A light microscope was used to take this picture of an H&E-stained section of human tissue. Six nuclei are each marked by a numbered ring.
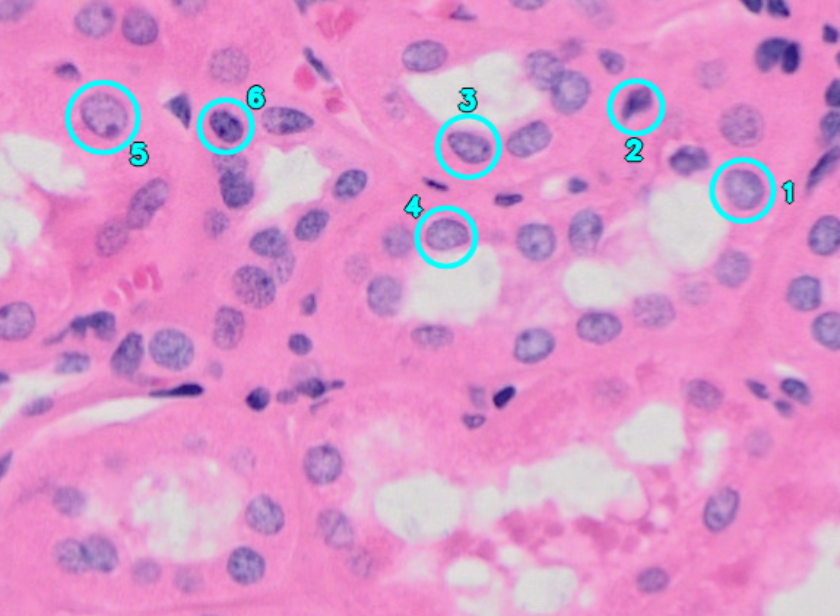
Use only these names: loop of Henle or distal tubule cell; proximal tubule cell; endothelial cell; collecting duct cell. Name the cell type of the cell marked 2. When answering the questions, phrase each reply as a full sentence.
The cell identified by number 2 is an endothelial cell.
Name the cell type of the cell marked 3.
The marked nucleus 3 is that of a loop of Henle or distal tubule cell.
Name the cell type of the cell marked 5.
In this section, the cell tagged 5 is a proximal tubule cell.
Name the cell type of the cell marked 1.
Cell 1, among those numbered, is a loop of Henle or distal tubule cell.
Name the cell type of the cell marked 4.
Marked with the number 4, this cell is a loop of Henle or distal tubule cell.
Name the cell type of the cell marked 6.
The mark numbered 6 indicates the nucleus of a collecting duct cell.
